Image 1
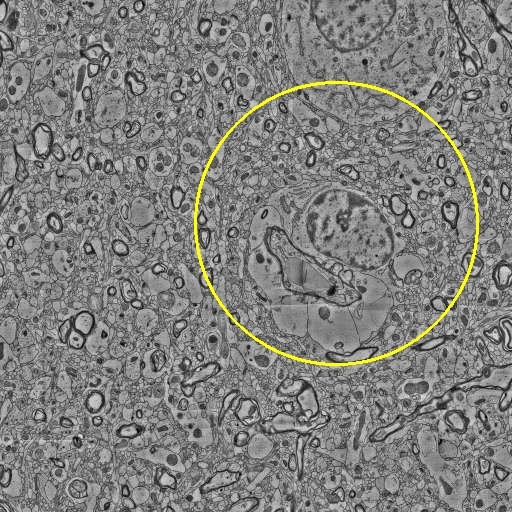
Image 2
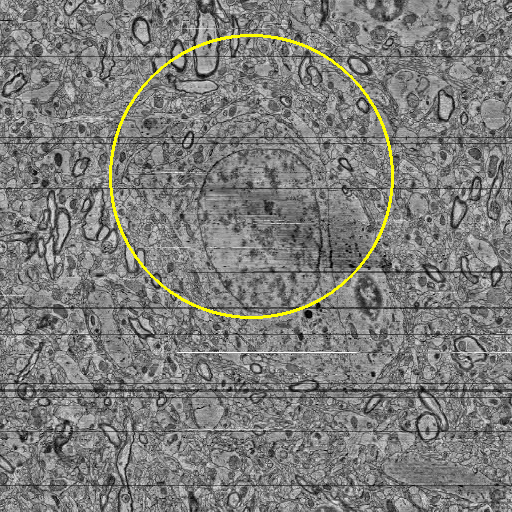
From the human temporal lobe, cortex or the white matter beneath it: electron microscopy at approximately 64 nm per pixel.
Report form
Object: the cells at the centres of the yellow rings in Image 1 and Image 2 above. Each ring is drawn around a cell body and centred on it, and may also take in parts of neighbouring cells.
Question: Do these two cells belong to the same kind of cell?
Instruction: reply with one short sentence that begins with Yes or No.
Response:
No, they belong to two kinds of cell.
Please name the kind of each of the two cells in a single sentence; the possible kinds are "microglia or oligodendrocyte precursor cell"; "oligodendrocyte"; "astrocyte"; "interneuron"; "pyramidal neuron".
In the first picture the ring is centred on a microglial cell or oligodendrocyte precursor cell, and in the second on a pyramidal neuron.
